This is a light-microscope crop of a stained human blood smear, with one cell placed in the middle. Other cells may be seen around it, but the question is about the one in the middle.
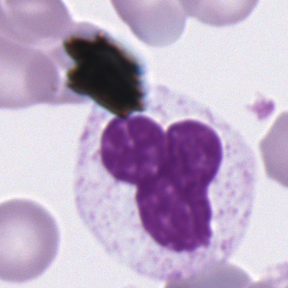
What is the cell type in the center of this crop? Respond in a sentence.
The central cell, amid any neighbouring cells, is a segmented neutrophil.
